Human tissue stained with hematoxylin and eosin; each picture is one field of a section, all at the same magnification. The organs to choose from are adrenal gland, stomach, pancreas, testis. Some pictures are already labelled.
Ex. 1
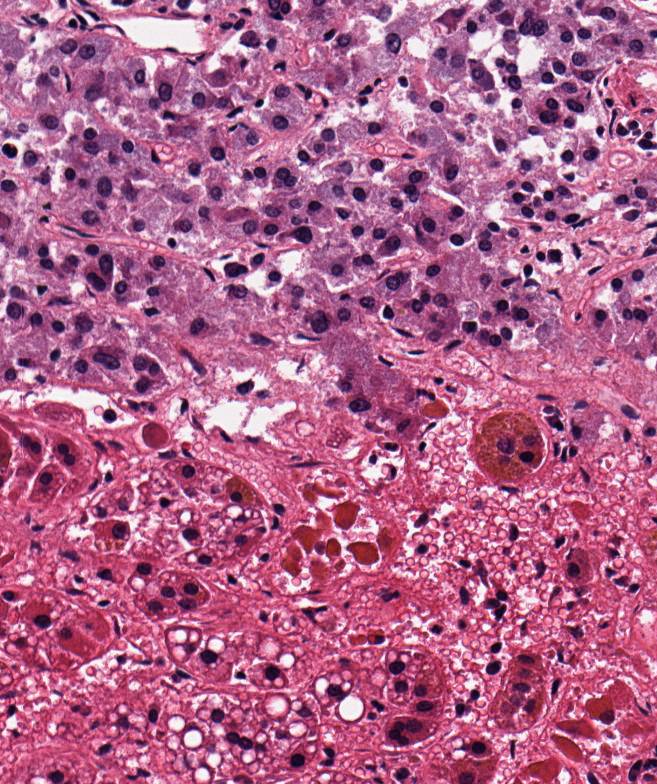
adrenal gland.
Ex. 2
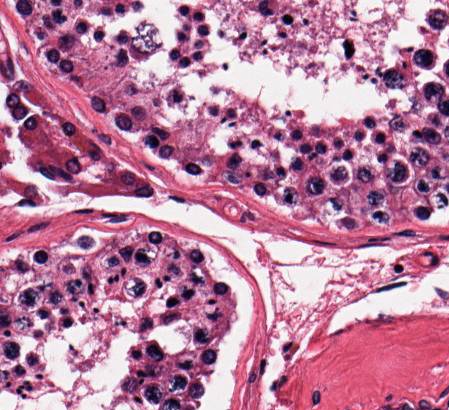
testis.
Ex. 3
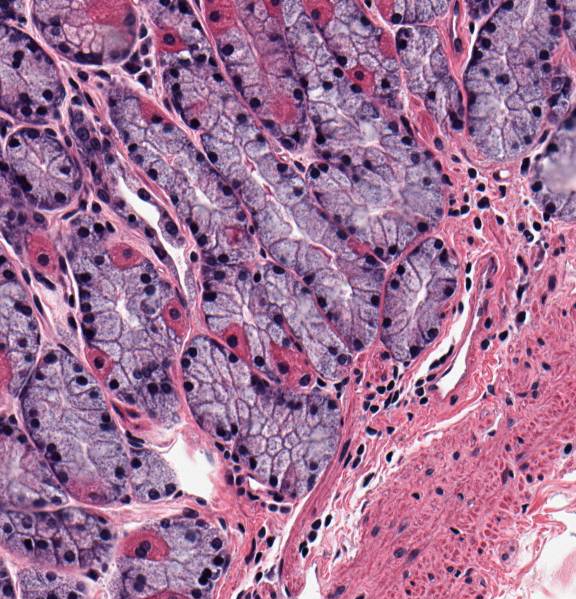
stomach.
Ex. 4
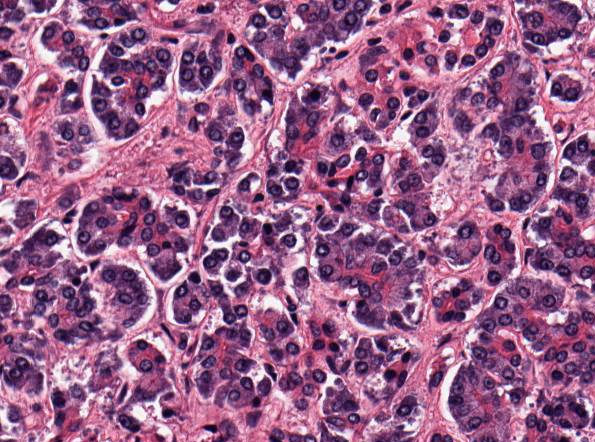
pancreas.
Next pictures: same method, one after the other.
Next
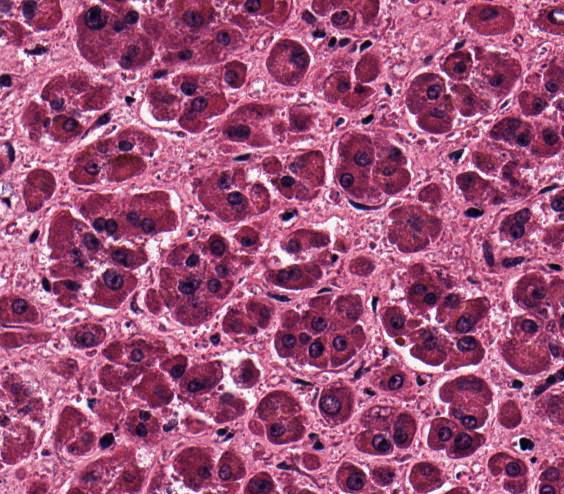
adrenal gland.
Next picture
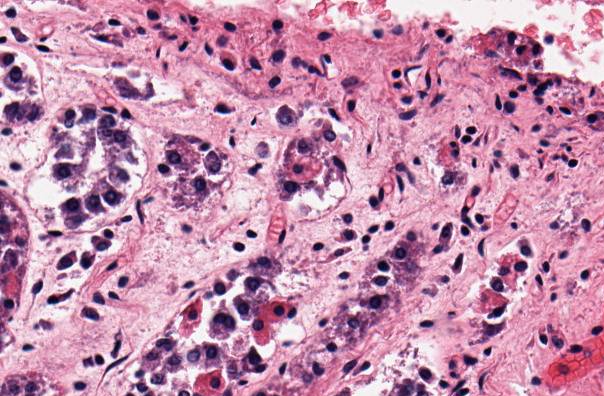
stomach.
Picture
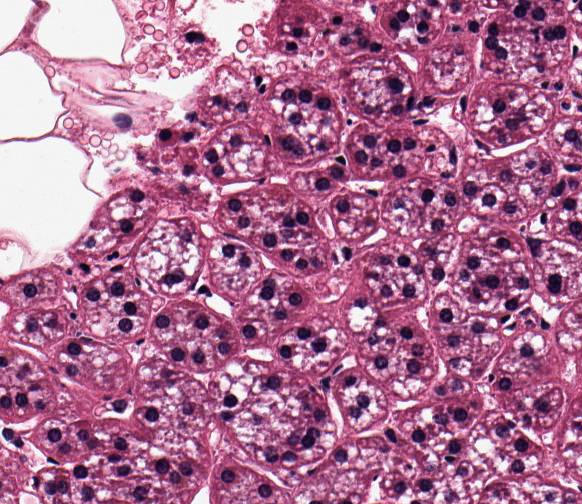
adrenal gland.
